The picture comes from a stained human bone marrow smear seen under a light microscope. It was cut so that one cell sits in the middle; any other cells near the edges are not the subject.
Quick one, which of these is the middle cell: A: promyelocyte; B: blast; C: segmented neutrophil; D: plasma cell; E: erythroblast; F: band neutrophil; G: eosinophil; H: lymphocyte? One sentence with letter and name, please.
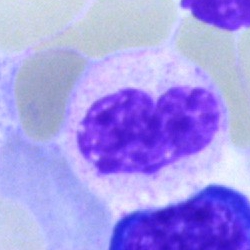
According to option F, which is correct, the cell in the middle is a band neutrophil.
